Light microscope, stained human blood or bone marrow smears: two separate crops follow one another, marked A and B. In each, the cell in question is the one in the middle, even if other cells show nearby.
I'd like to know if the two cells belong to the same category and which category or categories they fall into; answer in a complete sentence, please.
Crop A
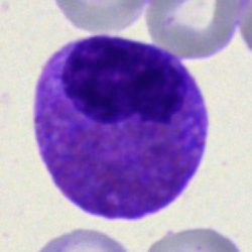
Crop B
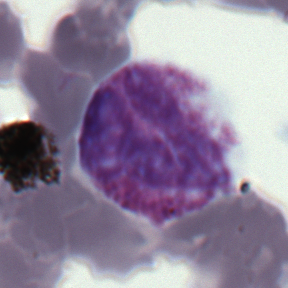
Yes, the same answer goes for both crops, namely eosinophils.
